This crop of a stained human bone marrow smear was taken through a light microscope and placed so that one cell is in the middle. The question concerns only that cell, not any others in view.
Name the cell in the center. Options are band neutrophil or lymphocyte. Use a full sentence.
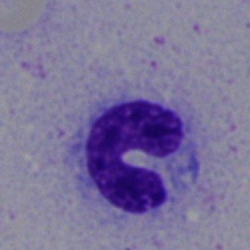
Located at the centre of the crop is a band neutrophil.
